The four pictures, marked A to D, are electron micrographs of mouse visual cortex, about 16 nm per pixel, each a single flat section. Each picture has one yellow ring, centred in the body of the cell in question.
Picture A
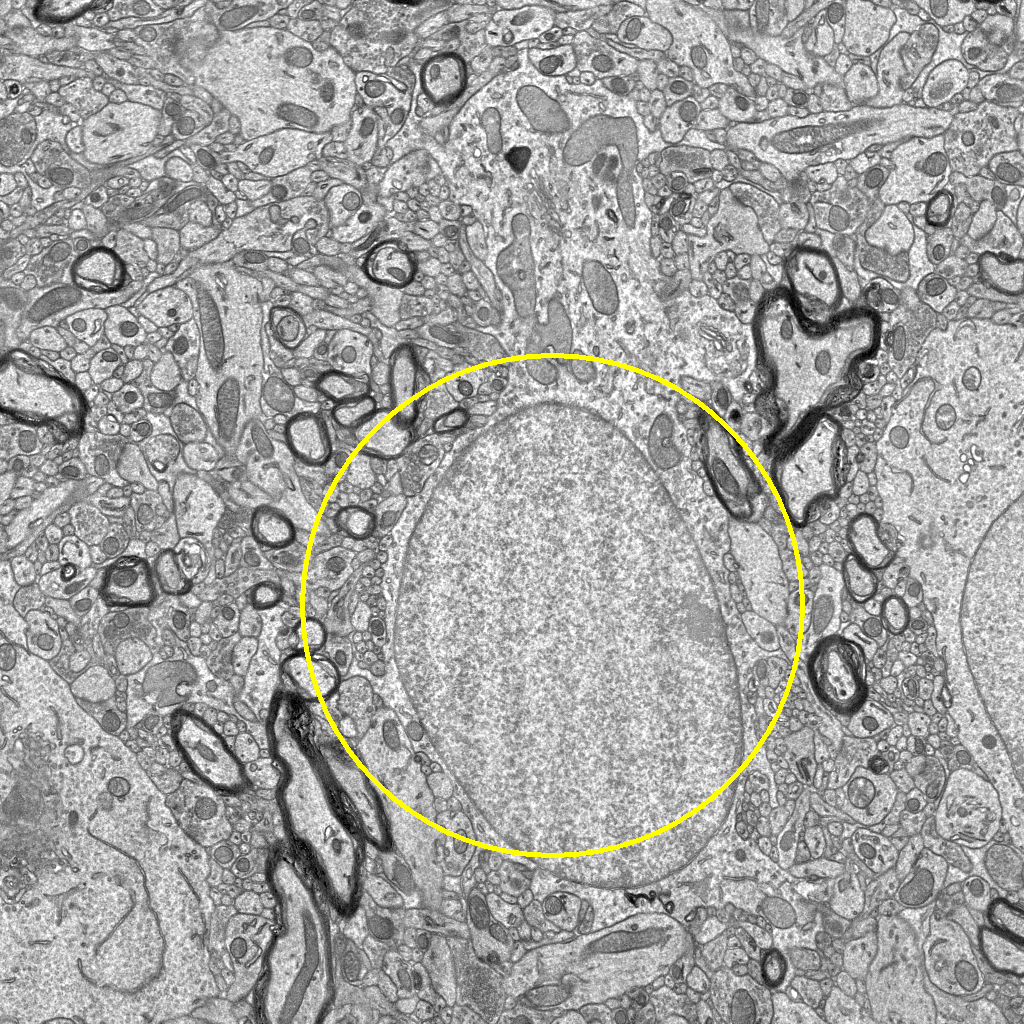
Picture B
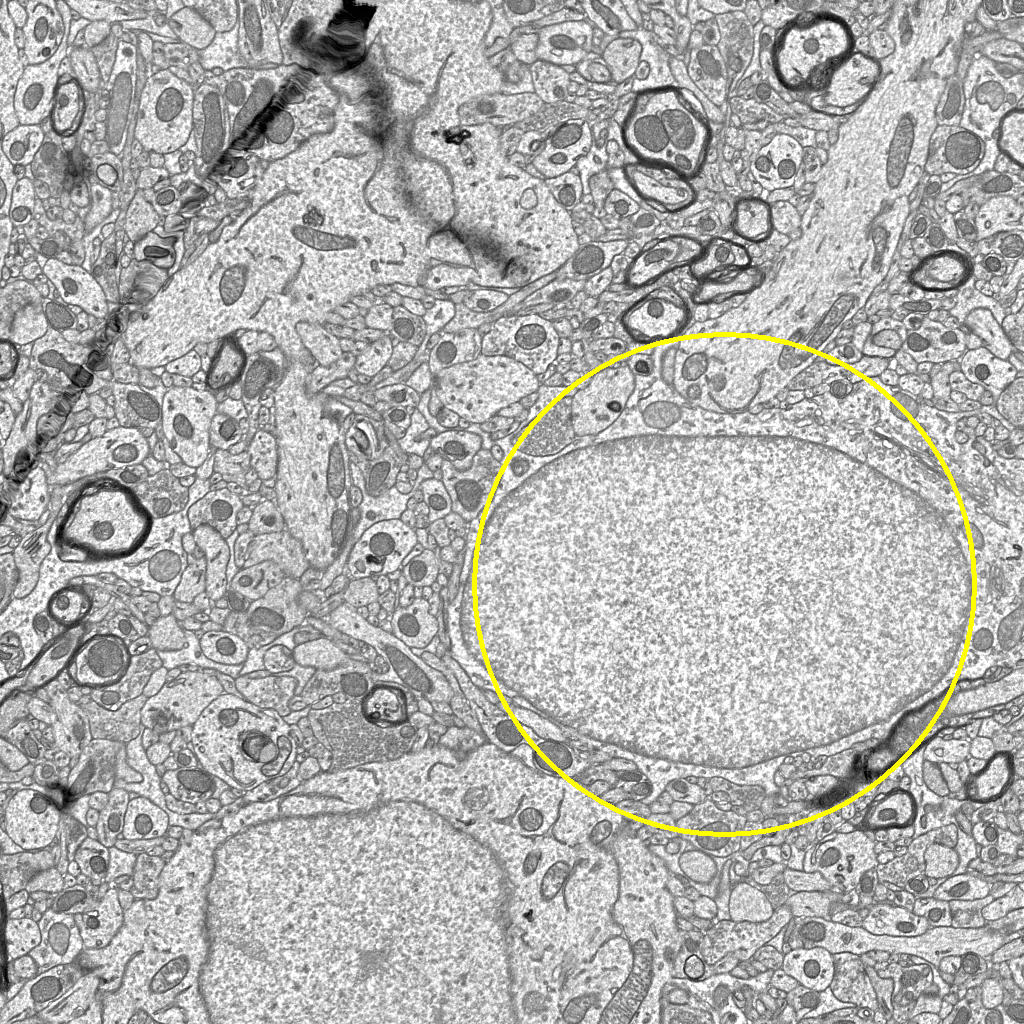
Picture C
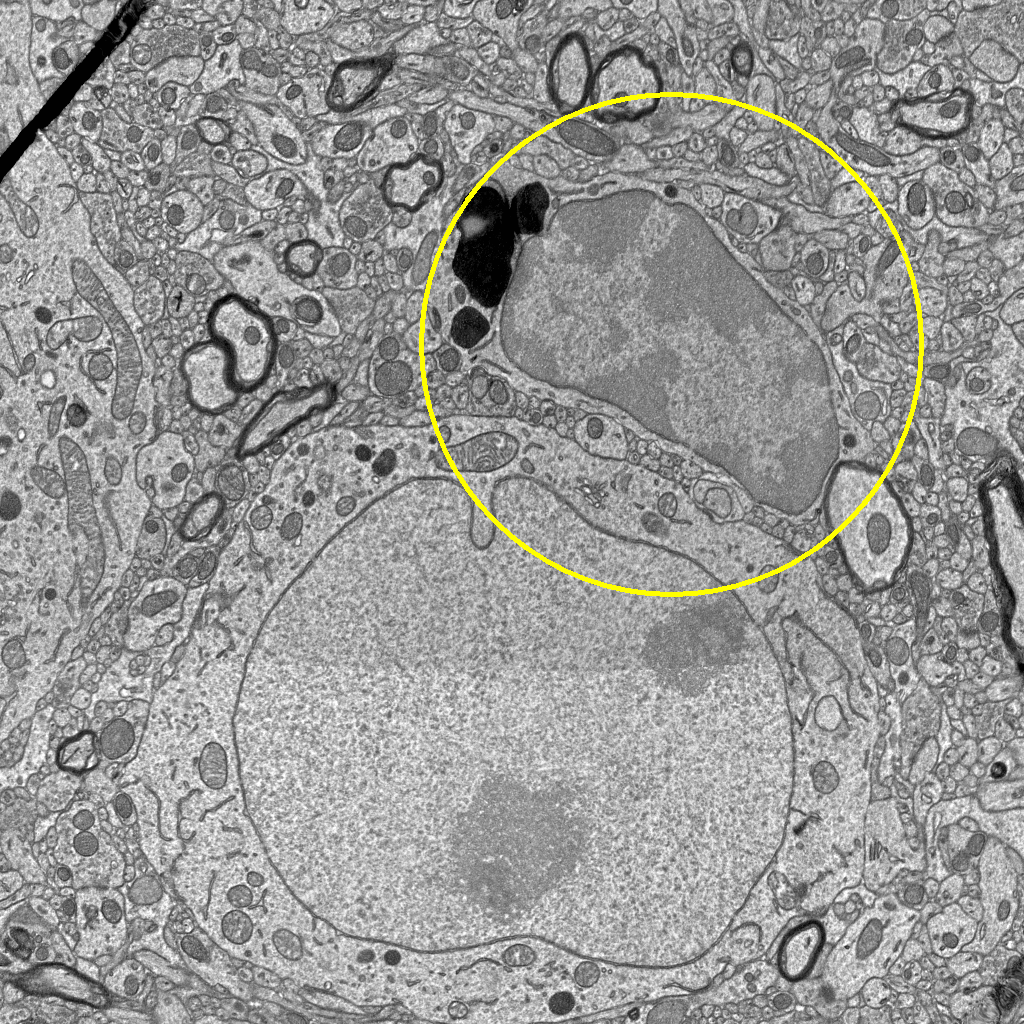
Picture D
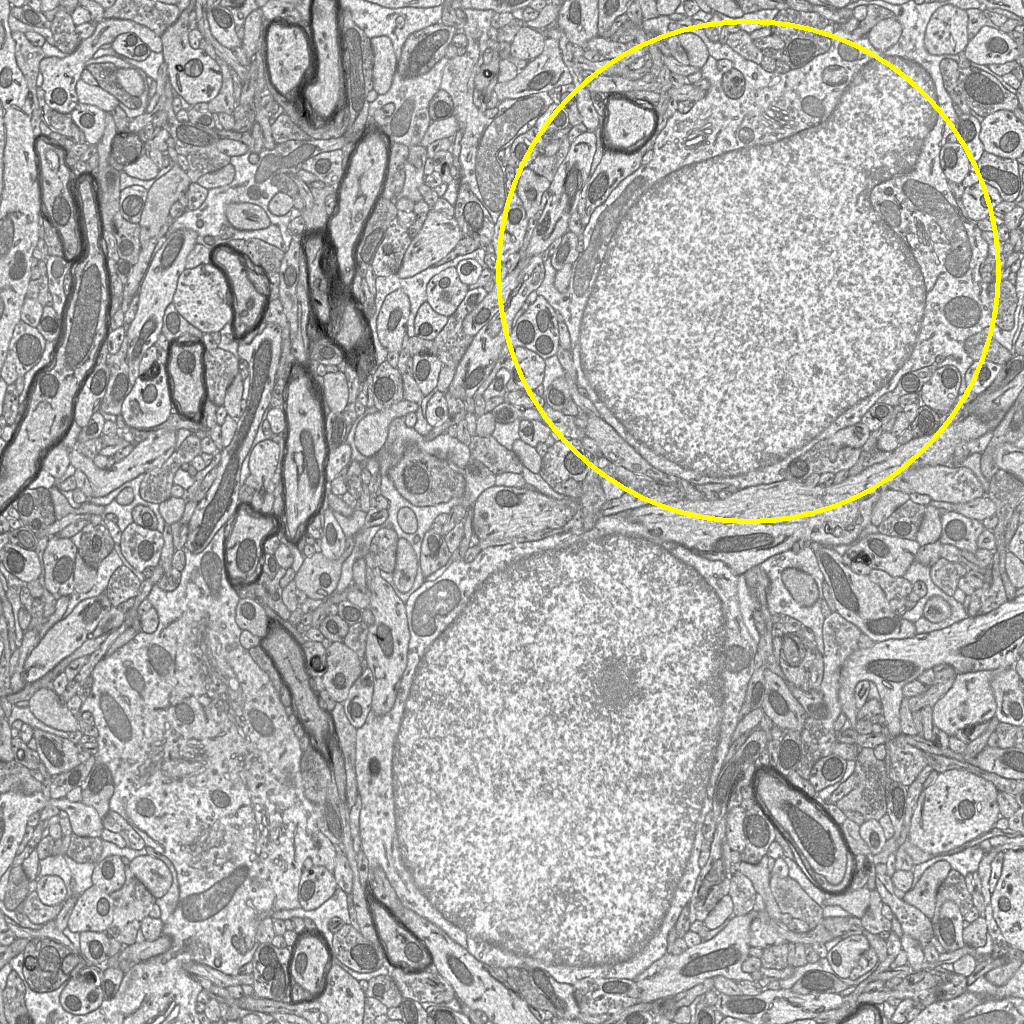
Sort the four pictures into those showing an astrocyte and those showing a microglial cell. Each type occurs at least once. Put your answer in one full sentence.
Pictures A, B and D show astrocytes; picture C shows a microglial cell.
